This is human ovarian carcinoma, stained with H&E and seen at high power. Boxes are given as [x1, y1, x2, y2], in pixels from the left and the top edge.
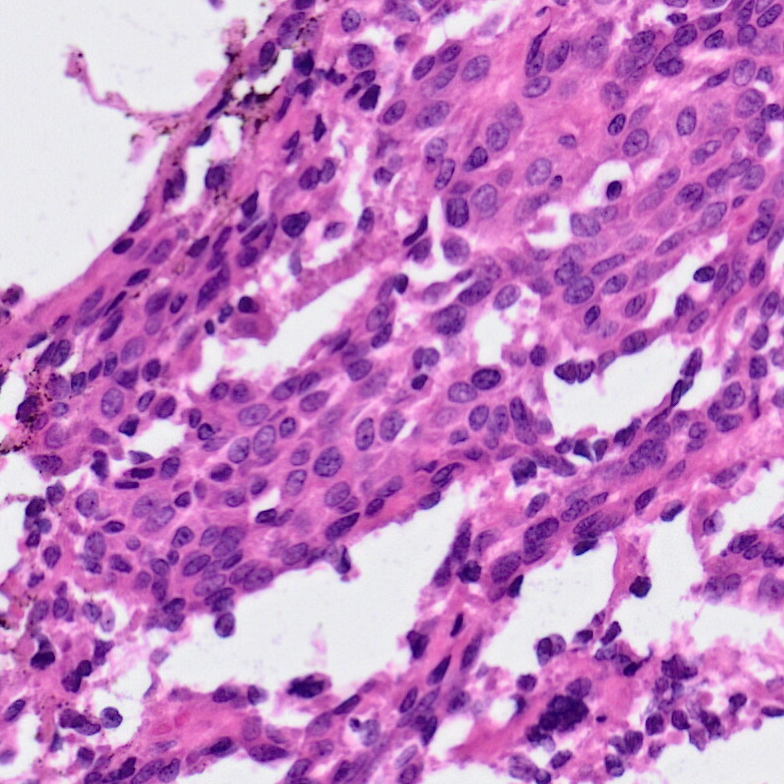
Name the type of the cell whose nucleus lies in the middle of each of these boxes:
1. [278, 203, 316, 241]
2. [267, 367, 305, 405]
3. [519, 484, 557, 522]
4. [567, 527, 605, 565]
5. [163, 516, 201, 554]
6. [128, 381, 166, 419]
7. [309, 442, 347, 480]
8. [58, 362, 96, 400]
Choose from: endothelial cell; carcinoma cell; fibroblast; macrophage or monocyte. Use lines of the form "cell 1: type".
cell 1: carcinoma cell
cell 2: carcinoma cell
cell 3: carcinoma cell
cell 4: carcinoma cell
cell 5: macrophage or monocyte
cell 6: macrophage or monocyte
cell 7: carcinoma cell
cell 8: macrophage or monocyte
